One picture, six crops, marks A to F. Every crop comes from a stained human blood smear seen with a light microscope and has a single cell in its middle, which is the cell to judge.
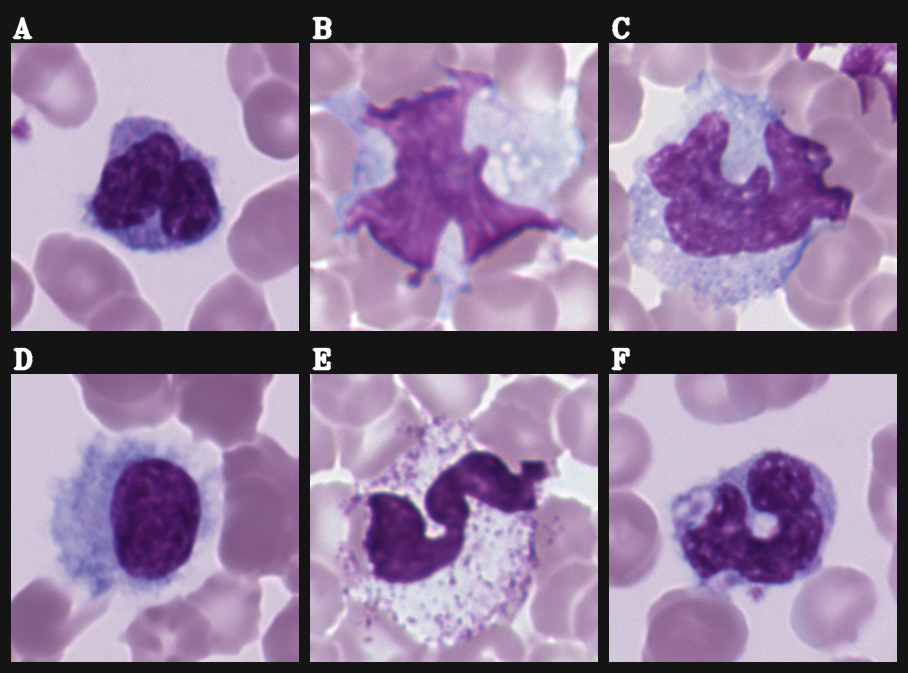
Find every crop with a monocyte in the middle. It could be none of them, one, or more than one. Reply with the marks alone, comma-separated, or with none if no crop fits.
A, B, C, F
